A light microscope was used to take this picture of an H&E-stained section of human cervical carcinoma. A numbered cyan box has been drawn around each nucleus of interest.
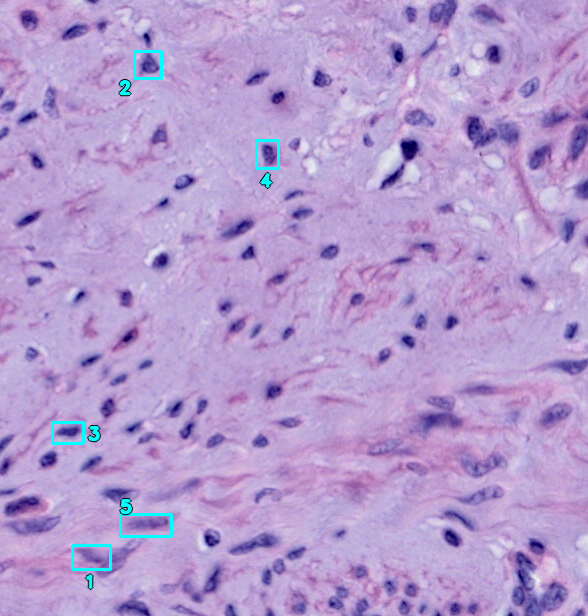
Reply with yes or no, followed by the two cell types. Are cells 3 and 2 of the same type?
No, cell 3 is a smooth muscle cell; cell 2 is a fibroblast.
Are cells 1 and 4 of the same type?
No, the cell labelled 1 is a smooth muscle cell; the cell labelled 4 is a fibroblast.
